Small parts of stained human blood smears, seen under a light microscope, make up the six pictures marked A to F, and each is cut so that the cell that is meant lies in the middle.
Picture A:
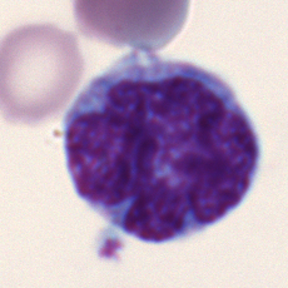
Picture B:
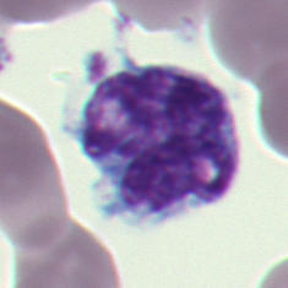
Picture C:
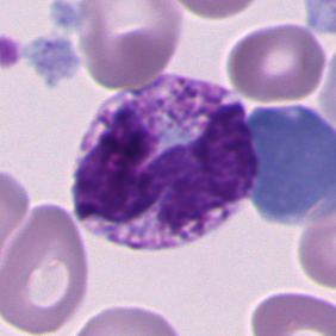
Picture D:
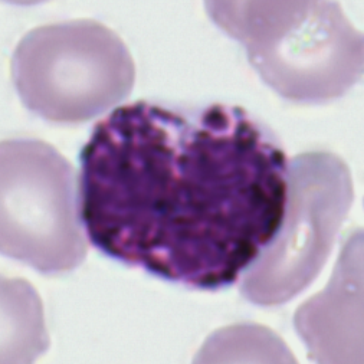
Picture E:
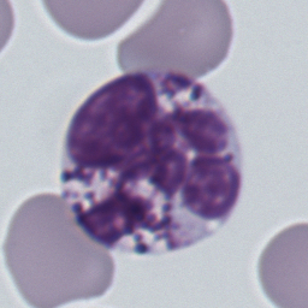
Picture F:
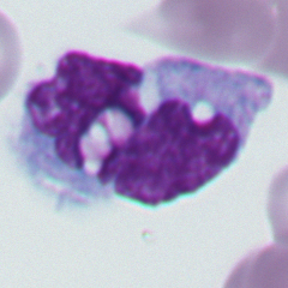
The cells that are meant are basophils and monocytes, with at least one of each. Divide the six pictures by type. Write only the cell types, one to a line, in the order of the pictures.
monocyte
monocyte
basophil
basophil
basophil
monocyte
